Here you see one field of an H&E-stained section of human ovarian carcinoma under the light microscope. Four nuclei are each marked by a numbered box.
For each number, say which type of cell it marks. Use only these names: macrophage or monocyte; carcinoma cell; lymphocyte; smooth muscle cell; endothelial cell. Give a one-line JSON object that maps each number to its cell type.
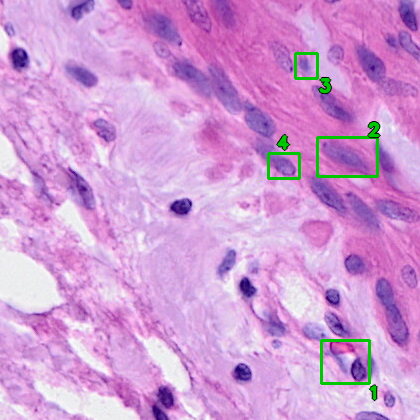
{"1": "endothelial cell", "2": "smooth muscle cell", "3": "smooth muscle cell", "4": "smooth muscle cell"}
